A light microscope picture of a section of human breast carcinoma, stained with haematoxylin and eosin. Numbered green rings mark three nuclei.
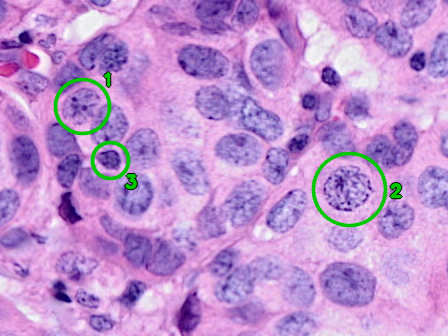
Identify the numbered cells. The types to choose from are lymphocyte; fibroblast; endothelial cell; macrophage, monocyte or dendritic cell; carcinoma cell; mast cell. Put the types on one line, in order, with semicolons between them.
carcinoma cell; carcinoma cell; lymphocyte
